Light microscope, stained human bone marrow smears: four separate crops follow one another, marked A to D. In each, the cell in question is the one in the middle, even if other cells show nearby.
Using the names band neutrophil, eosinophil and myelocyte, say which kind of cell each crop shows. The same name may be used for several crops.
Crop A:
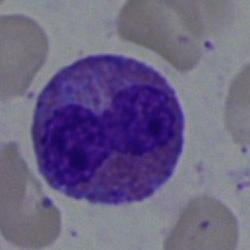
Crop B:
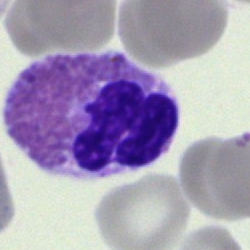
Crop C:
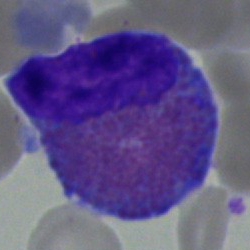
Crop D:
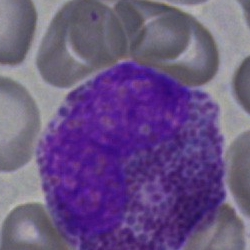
A: eosinophil
B: eosinophil
C: eosinophil
D: eosinophil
